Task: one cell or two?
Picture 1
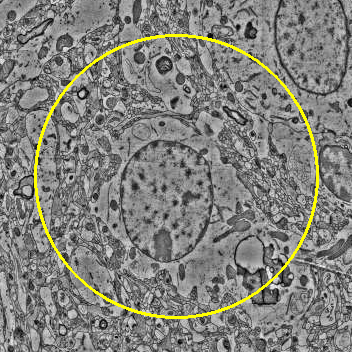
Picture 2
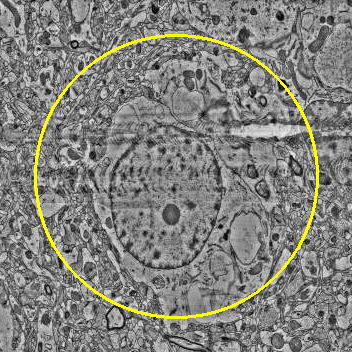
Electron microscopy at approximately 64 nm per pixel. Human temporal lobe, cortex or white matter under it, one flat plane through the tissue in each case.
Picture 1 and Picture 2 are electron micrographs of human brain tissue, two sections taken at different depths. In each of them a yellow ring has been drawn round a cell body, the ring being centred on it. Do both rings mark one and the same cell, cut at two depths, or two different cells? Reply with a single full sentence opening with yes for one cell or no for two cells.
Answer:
Yes, the marked cell is the same in both rings.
